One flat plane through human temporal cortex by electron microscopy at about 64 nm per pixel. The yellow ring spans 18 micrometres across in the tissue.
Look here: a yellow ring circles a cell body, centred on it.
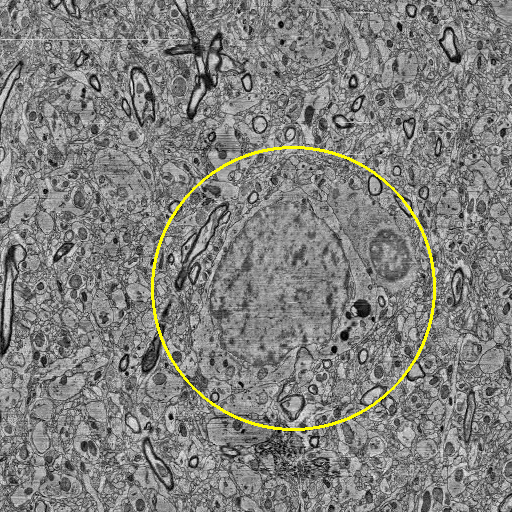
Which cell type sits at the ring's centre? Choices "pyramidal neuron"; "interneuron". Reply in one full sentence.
The cell at the centre of the yellow ring in the picture is an interneuron.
